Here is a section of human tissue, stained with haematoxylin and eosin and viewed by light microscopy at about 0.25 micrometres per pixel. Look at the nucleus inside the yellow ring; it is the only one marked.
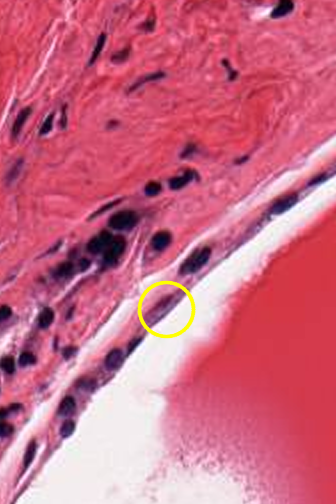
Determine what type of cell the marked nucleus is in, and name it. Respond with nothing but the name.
thyroid follicular cell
